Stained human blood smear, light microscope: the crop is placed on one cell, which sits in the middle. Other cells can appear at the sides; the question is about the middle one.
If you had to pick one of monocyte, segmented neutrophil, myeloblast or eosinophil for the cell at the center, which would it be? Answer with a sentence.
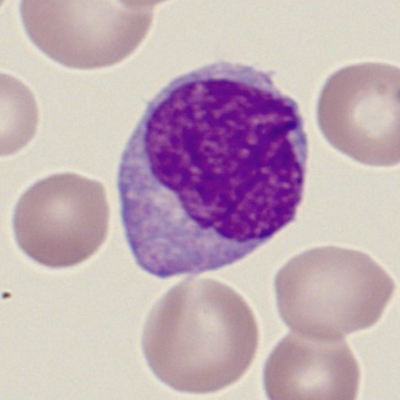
What sits at the centre of this crop is a monocyte.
